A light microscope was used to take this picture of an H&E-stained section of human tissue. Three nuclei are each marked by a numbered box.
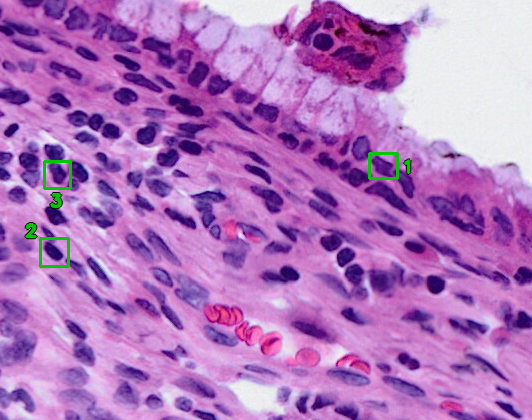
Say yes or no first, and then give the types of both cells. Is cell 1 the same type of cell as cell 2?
No, that does not hold; cell 1 is a secretory epithelial cell and cell 2 is a lymphocyte.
